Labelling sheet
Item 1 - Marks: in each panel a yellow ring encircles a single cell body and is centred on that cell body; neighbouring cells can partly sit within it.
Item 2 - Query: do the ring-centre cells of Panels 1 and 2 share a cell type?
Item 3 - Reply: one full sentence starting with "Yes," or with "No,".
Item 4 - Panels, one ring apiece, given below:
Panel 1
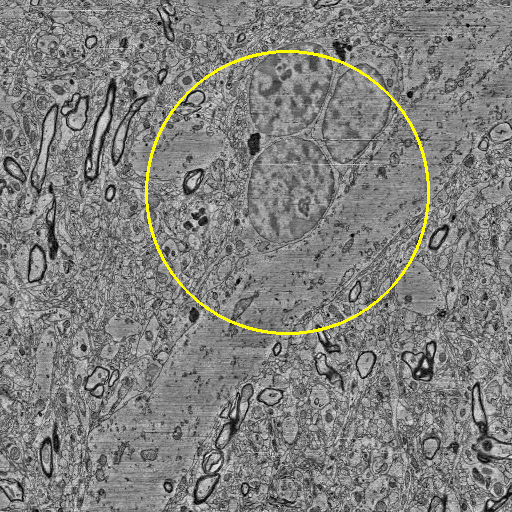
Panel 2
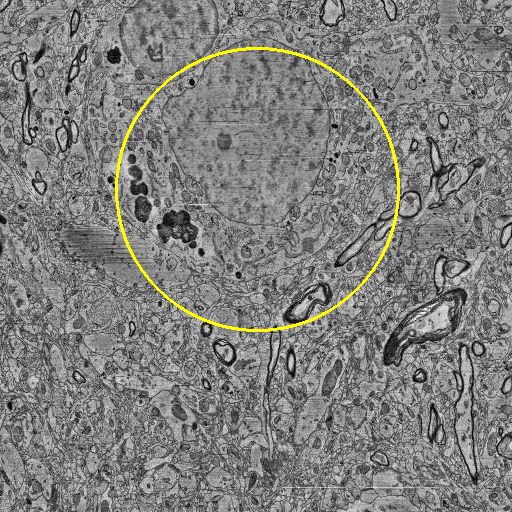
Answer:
No, Panel 1 and Panel 2 show two cell types at the centres of their rings.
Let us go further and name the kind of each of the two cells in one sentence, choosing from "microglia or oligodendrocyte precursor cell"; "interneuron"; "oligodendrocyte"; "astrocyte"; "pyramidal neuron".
The ring of the first picture is on an oligodendrocyte, the ring of the second on an interneuron.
